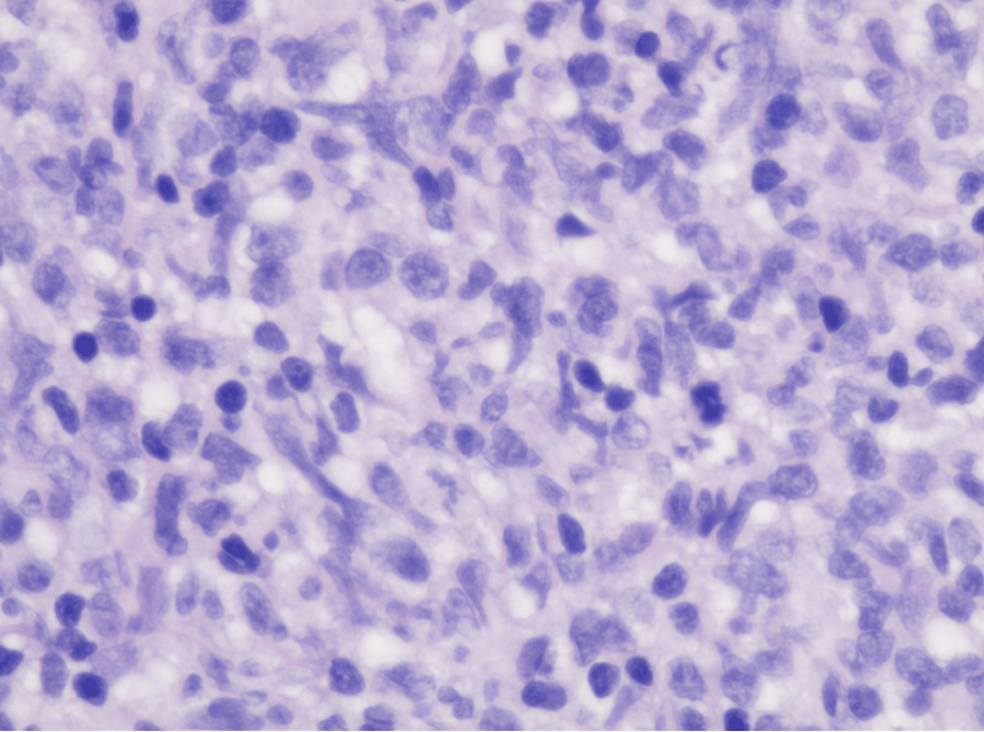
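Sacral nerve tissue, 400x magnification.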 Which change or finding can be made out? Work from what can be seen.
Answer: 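Densely packed sheets of cells fill the whole field without any organized tissue architecture. The cells vary in size, with many large nuclei. The nuclei are oval to irregular in shape. Small, dark, condensed nuclei are scattered among the larger cells.
Conclusion: Polymorphic infiltrate of medium to large lymphoid cells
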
